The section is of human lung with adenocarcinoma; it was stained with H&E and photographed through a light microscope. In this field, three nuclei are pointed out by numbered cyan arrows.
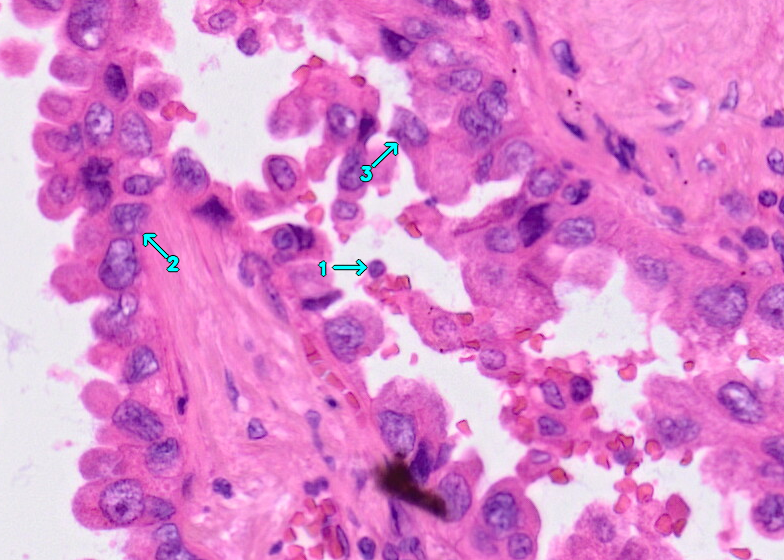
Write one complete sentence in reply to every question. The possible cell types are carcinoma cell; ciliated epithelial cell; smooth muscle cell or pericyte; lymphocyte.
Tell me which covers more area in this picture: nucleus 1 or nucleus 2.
It is nucleus 2, which covers about 4 times the area of nucleus 1.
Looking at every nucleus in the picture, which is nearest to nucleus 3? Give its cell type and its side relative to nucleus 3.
The nearest one is a carcinoma cell, found to the left of nucleus 3.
